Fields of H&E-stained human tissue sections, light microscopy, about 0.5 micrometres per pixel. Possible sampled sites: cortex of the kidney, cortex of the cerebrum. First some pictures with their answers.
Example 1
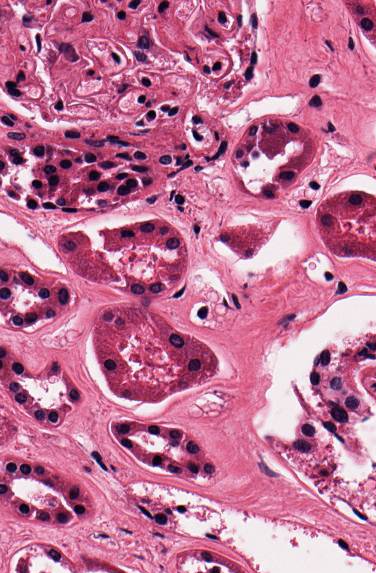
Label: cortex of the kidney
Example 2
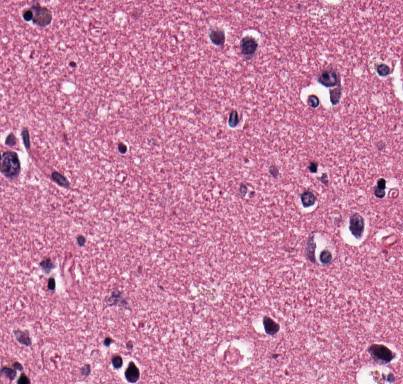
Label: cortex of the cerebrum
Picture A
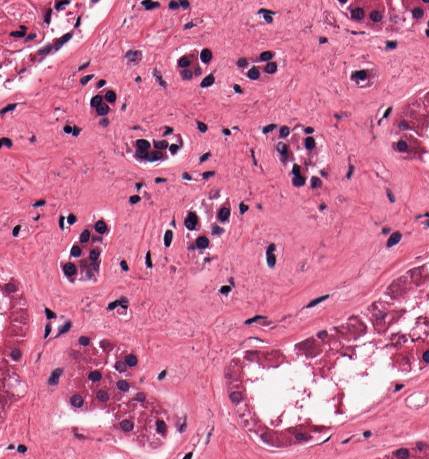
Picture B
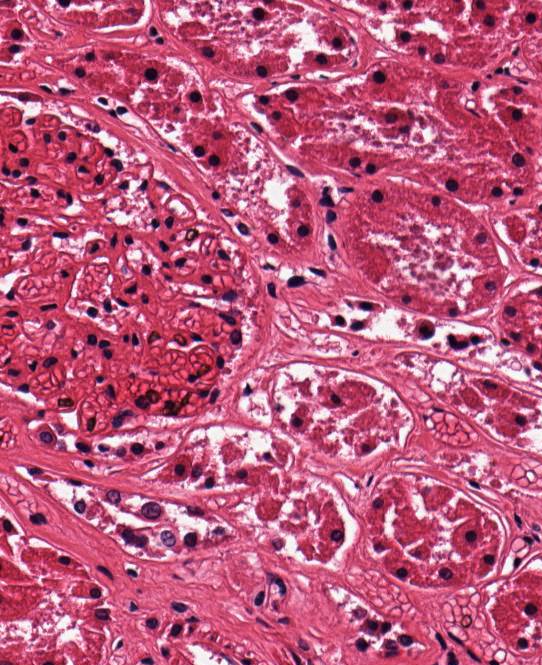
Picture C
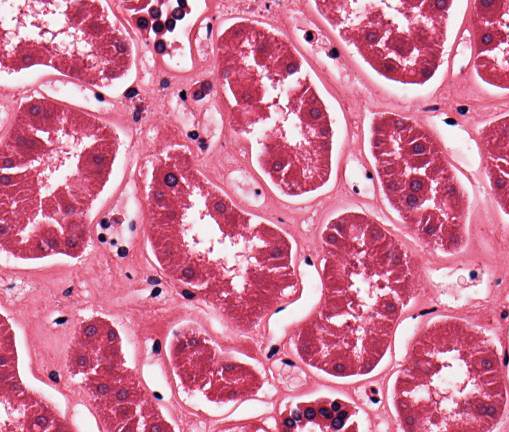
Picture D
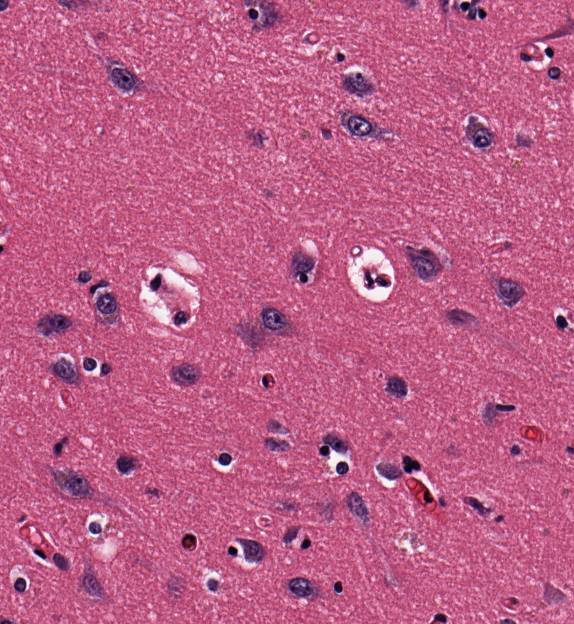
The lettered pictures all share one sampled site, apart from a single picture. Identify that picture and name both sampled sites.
Odd one out: D (cortex of the cerebrum). The rest: cortex of the kidney.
